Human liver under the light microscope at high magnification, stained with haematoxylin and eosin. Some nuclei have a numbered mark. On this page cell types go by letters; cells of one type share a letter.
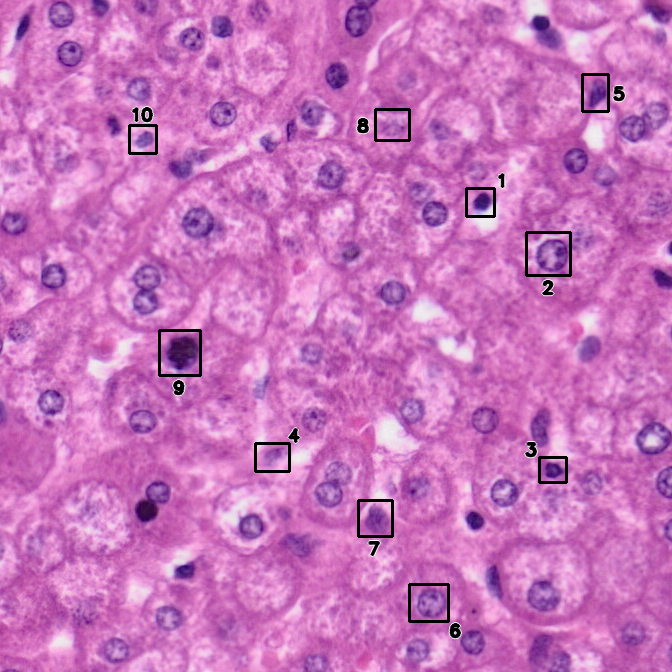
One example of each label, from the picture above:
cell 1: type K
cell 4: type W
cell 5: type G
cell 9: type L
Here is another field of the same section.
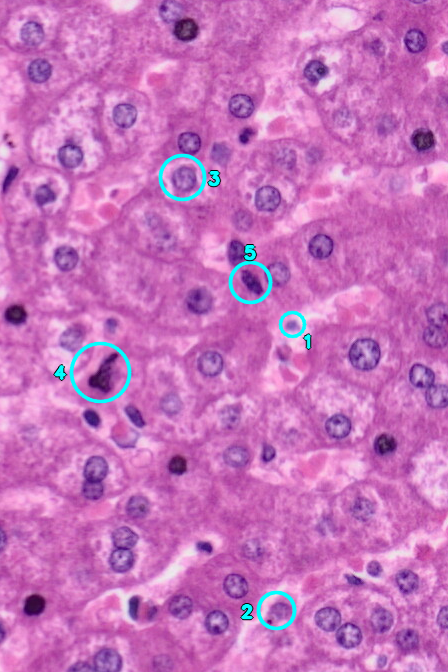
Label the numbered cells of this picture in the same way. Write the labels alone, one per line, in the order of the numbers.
type K
type W
type L
type W
type G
